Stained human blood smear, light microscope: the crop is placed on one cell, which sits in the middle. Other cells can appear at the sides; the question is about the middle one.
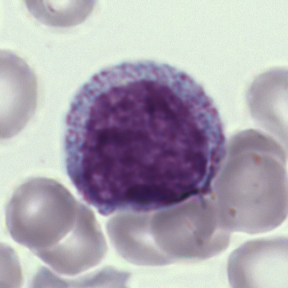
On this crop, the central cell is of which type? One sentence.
The cell at the centre of the field is a promyelocyte.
